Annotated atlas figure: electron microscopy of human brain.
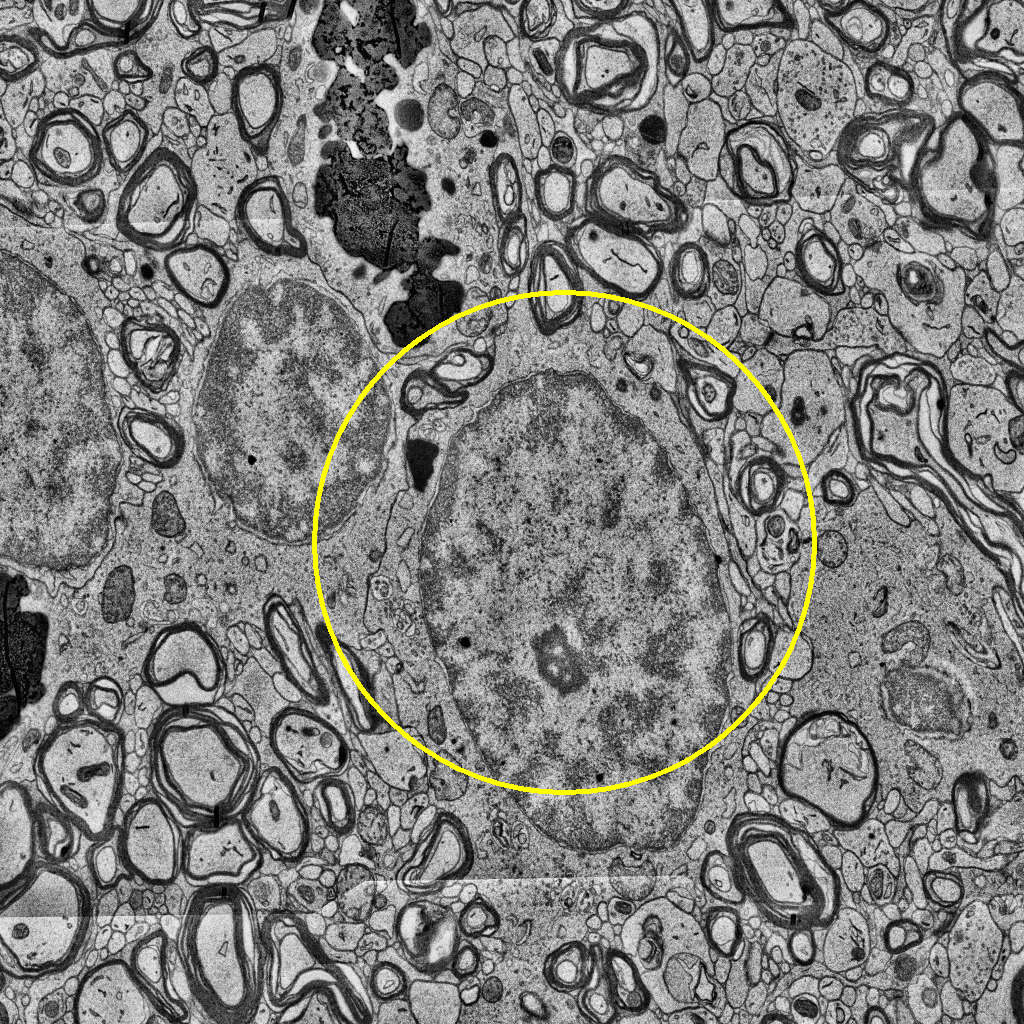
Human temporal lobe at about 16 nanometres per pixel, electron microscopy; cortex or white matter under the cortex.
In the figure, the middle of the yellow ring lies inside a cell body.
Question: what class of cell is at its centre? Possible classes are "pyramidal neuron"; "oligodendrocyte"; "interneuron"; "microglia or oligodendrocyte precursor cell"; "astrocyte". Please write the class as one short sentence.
The yellow ring's centre lies in an oligodendrocyte.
